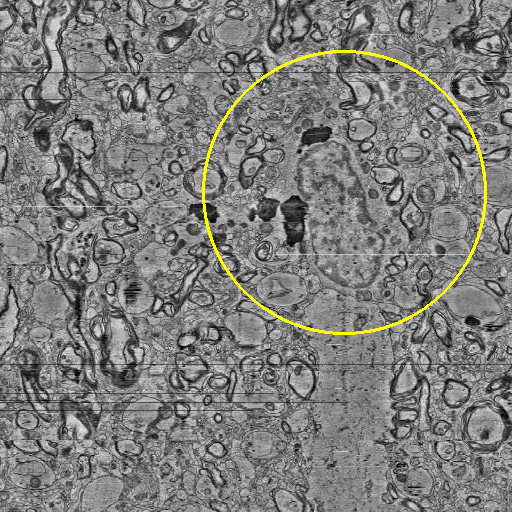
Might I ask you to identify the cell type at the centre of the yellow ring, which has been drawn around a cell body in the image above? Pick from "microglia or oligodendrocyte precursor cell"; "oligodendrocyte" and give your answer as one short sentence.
The centre of the ring falls on an oligodendrocyte.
